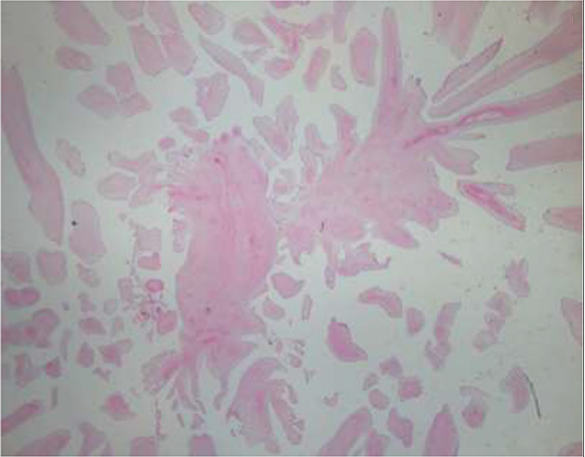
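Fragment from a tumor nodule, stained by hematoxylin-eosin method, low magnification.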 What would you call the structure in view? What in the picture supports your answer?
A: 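Many slender, elongated pink fronds branch out from central stalks. The fronds are separated by clear empty spaces. On this evidence: papillary formations.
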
